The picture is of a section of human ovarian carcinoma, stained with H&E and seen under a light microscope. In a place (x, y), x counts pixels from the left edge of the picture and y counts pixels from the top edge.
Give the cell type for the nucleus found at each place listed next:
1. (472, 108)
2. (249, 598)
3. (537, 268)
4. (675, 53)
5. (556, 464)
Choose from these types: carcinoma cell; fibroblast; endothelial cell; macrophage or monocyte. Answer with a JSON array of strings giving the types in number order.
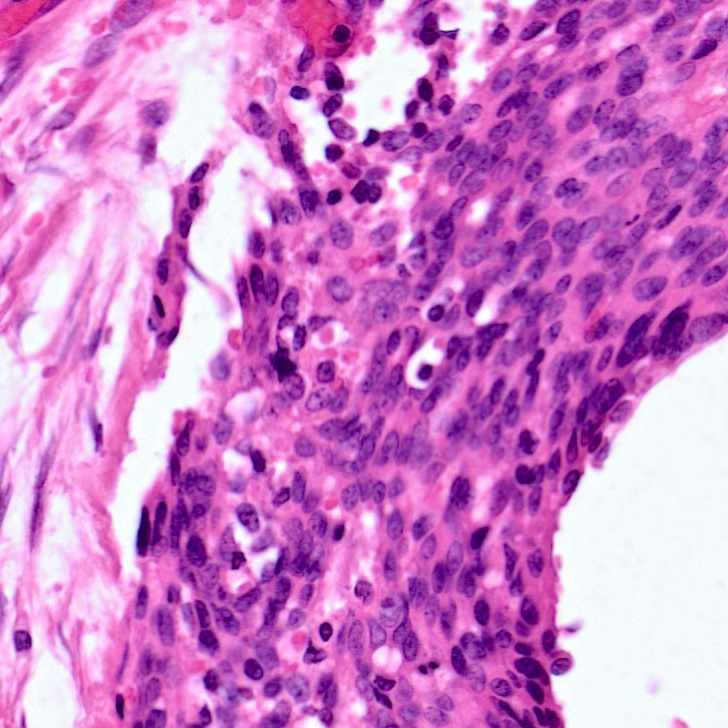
["macrophage or monocyte", "carcinoma cell", "carcinoma cell", "macrophage or monocyte", "carcinoma cell"]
